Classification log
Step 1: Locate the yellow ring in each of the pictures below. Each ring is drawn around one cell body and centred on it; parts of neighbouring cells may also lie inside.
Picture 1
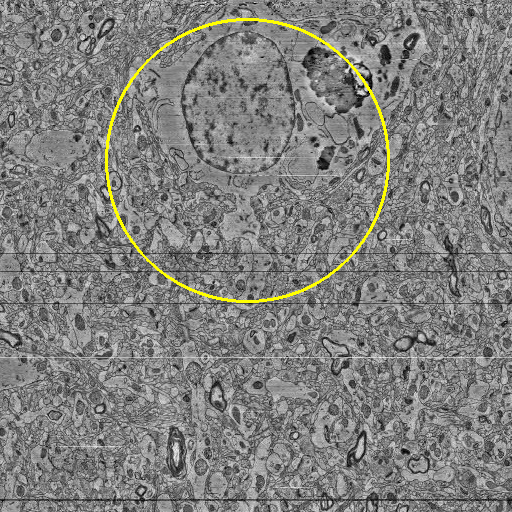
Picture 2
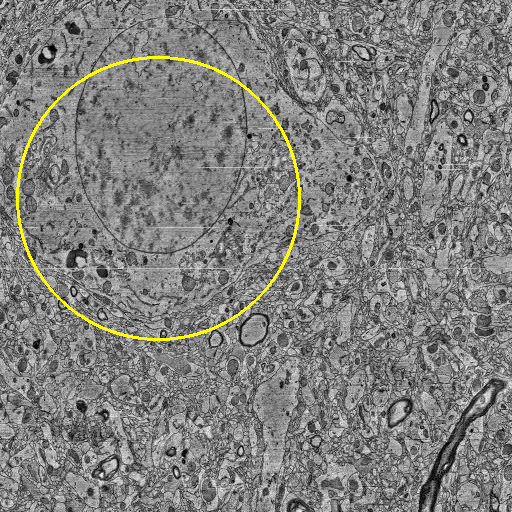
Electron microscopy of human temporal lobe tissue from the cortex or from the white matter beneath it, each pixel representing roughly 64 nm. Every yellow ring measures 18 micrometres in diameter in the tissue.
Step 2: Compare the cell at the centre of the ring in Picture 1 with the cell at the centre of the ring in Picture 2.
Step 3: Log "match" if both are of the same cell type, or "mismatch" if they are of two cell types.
mismatch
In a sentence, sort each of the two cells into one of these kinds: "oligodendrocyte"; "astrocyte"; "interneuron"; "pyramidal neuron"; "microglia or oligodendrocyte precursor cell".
The first of the two cells is an astrocyte, and the second is a pyramidal neuron.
